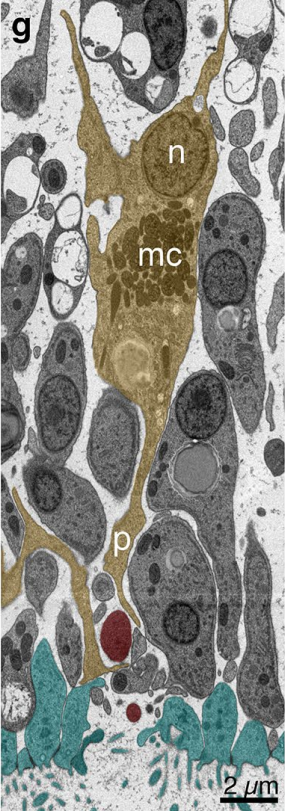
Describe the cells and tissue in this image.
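This section runs through the interior of the animal down to the ventral epithelium, and a large branching fiber cell, coloured mustard, stands among many elongated cells. The fiber cell body holds a round nucleus, and below it lies a dense cluster of dark mitochondria. Long, thin processes run from it downward and sideways between the neighbouring cells toward the ventral epithelium. That epithelium, coloured cyan, is a row of cells along the bottom edge with slender projections pointing outward, and small dense round particles, coloured red, lie between cells near the tip of a process close to a gap in this row.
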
